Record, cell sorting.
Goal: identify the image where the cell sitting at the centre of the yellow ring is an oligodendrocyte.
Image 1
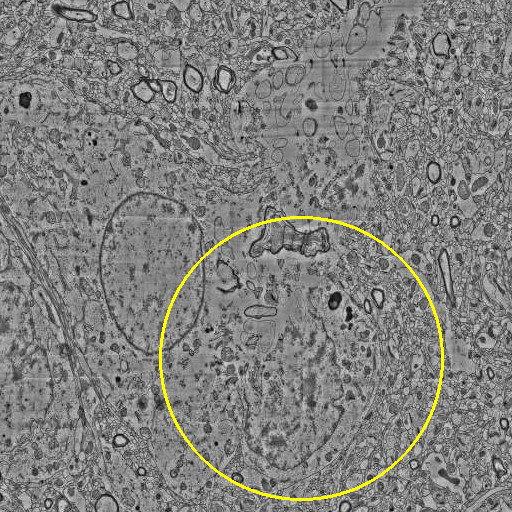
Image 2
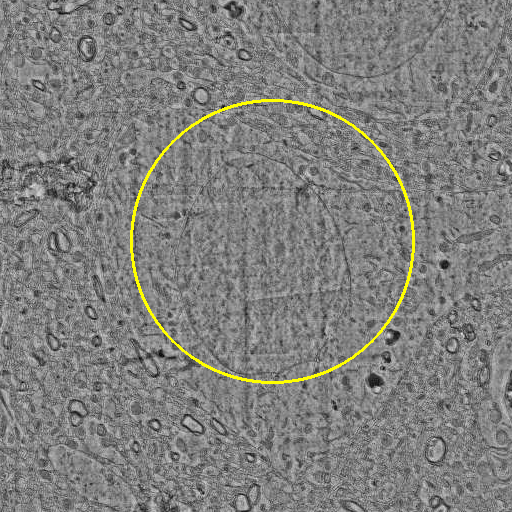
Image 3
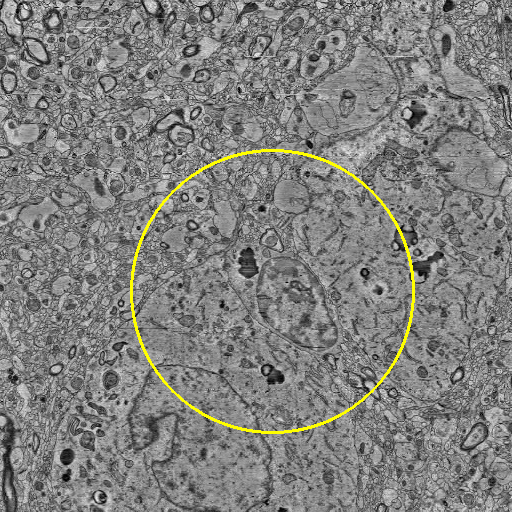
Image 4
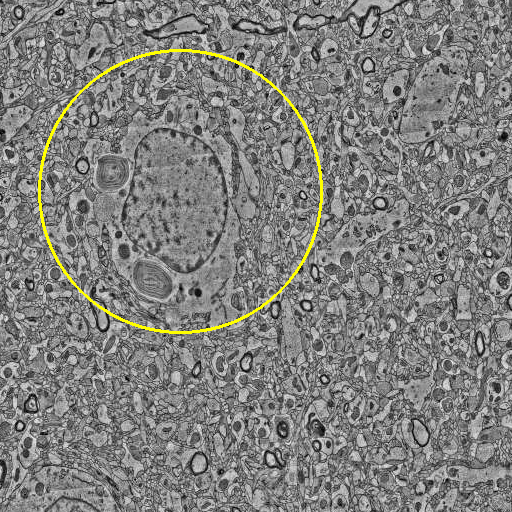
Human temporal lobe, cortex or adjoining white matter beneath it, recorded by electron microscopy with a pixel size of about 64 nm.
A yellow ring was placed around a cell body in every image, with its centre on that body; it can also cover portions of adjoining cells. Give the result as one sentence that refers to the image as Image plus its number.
Image 3 shows the requested cell sitting right at the centre of its ring.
